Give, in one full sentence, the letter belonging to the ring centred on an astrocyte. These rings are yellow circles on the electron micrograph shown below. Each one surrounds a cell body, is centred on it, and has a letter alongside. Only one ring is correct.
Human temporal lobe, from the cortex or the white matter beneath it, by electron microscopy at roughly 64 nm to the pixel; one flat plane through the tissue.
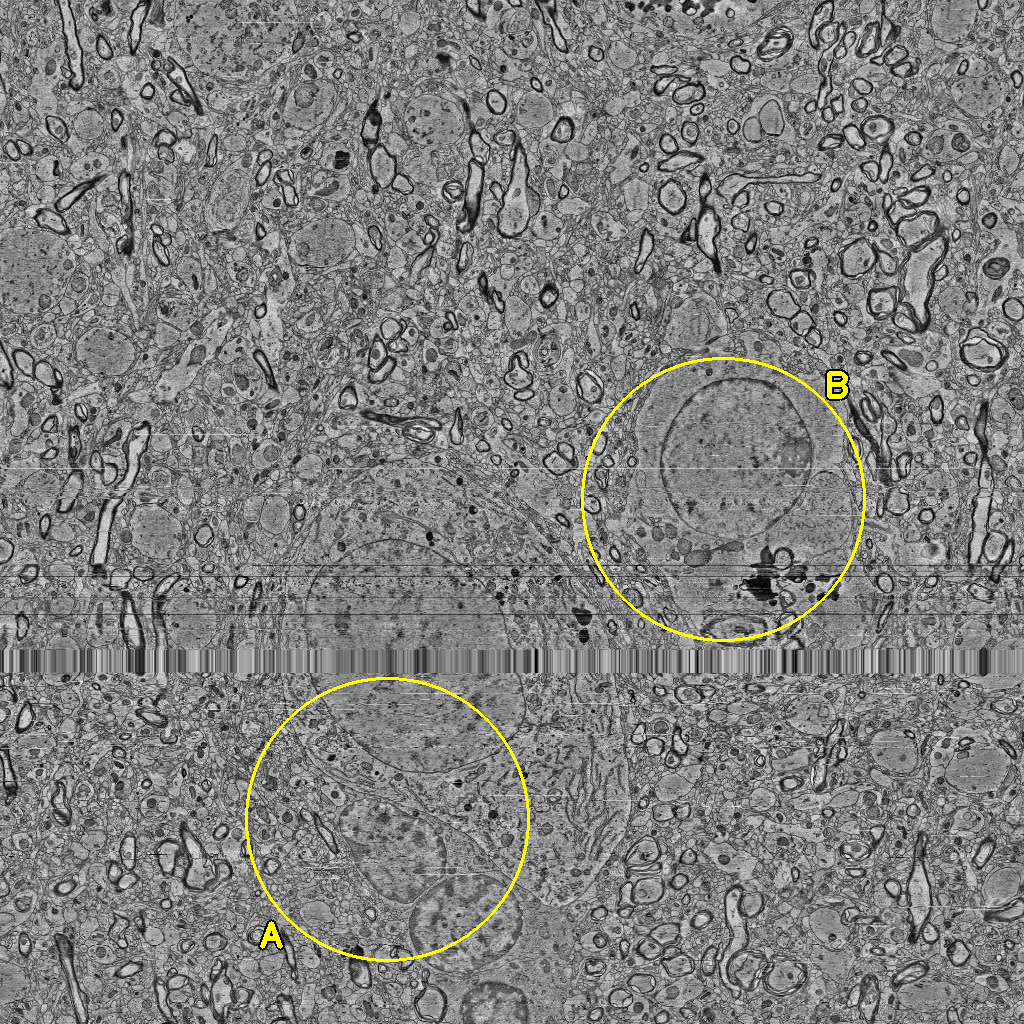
My answer is B, the ring centred on the cell asked for.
